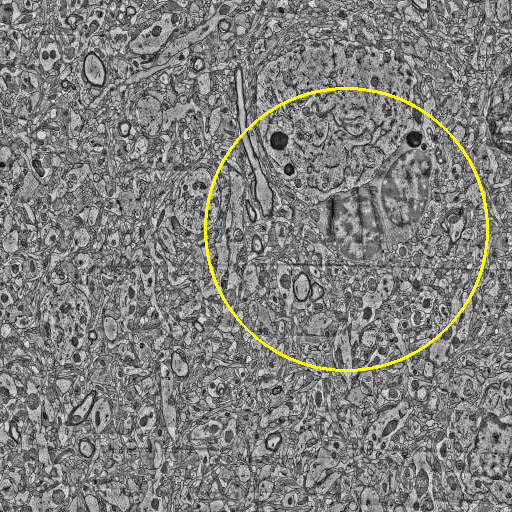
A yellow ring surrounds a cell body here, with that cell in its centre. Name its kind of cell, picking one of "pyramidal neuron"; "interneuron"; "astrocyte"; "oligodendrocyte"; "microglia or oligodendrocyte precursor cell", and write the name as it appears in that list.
oligodendrocyte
